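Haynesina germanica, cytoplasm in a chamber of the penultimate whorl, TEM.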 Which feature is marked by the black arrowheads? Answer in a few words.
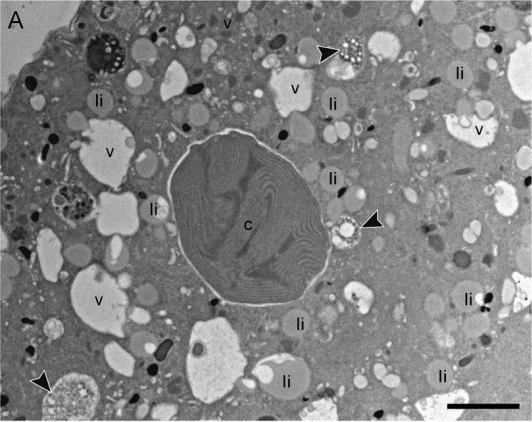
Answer: Multi-vacuolar structures.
